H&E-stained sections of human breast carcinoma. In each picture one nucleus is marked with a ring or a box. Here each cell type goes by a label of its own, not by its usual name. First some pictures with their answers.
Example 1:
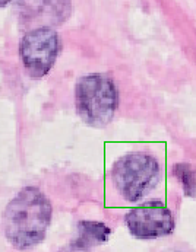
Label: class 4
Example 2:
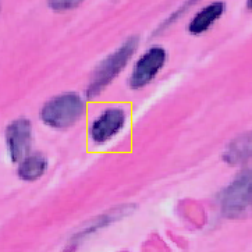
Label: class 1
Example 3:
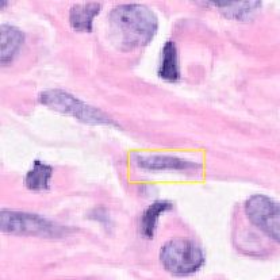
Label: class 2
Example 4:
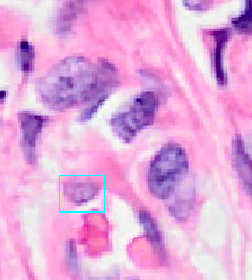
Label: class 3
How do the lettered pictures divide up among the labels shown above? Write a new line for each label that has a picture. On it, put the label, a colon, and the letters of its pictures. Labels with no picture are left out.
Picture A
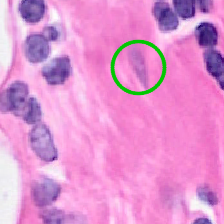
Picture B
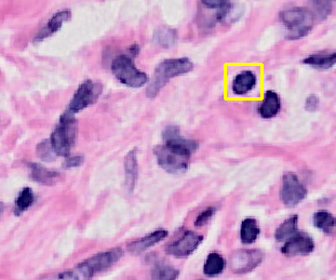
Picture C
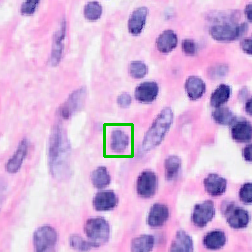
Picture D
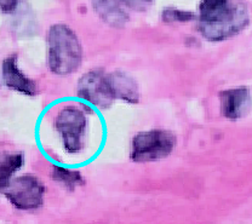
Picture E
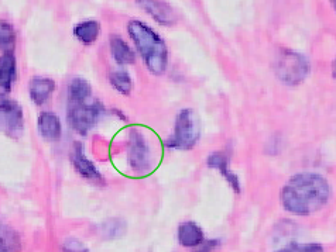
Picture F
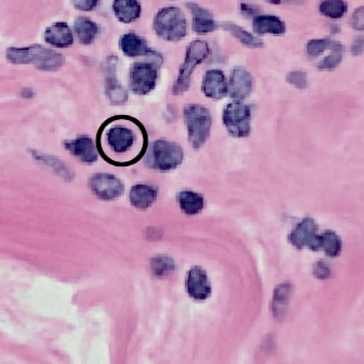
class 4: D
class 1: B, C, F
class 2: A
class 3: E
